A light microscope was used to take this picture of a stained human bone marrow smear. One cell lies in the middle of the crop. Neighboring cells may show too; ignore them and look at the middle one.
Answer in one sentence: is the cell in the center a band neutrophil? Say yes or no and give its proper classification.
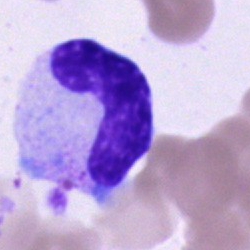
Yes, the cell at the very centre of the crop is a band neutrophil.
